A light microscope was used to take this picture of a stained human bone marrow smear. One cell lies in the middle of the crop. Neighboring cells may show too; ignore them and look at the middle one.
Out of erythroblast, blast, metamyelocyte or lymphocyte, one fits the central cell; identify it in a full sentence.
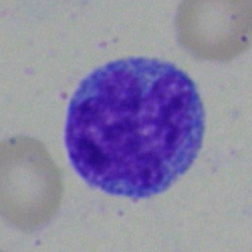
The single cell at the center of the crop is a blast.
